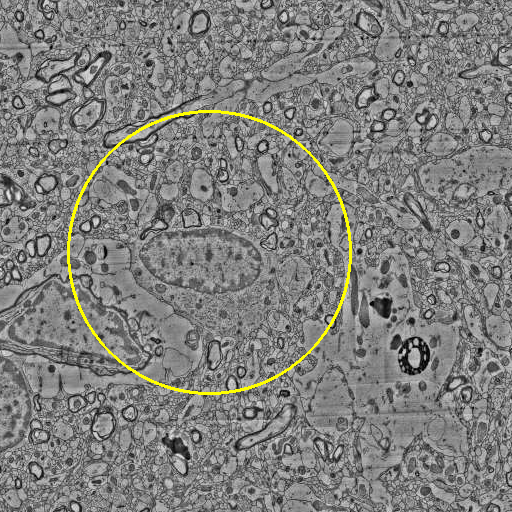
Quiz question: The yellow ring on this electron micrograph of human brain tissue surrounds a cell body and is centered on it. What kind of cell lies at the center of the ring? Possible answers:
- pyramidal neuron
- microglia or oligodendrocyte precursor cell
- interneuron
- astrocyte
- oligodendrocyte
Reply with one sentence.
The ring's center lies on an oligodendrocyte.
